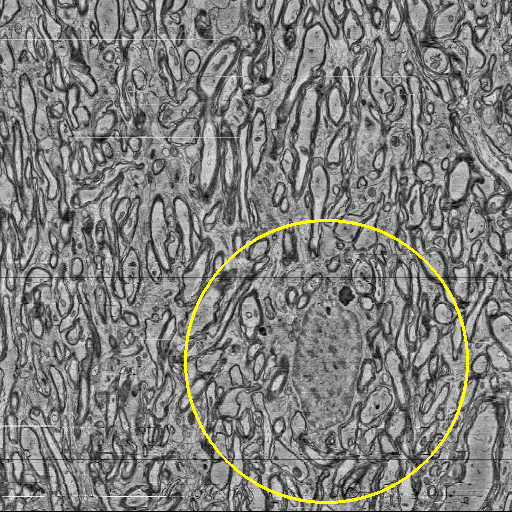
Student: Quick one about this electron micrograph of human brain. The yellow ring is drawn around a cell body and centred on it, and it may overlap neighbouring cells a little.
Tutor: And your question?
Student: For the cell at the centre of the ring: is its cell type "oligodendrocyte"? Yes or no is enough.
yes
